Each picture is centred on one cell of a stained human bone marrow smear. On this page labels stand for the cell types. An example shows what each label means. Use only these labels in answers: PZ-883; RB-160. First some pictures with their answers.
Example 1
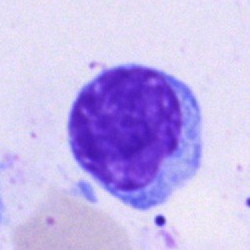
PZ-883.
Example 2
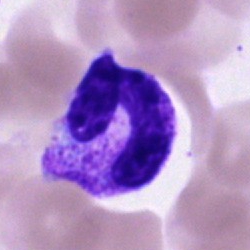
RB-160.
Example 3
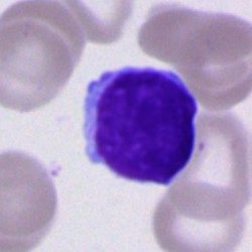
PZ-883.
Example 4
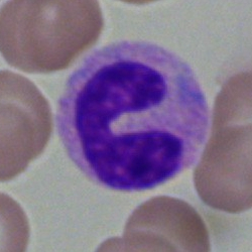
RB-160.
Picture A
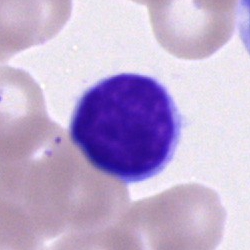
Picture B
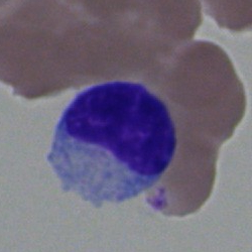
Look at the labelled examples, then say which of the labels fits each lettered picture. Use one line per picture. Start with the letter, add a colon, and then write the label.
A: PZ-883.
B: PZ-883.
